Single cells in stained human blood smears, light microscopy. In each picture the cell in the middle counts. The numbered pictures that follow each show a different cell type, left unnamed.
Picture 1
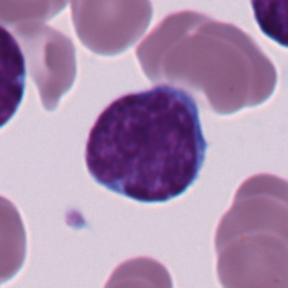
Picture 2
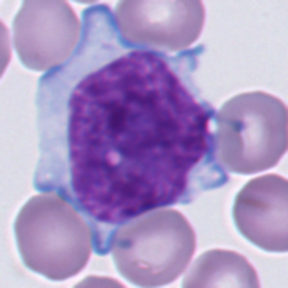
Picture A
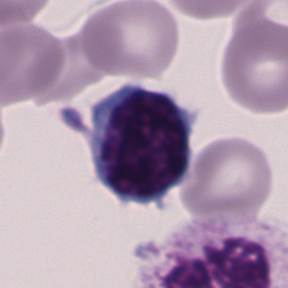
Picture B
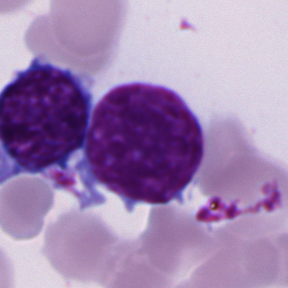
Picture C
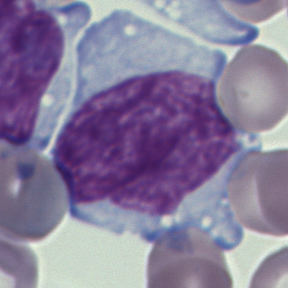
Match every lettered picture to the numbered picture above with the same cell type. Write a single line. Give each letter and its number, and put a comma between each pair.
A 1, B 2, C 2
